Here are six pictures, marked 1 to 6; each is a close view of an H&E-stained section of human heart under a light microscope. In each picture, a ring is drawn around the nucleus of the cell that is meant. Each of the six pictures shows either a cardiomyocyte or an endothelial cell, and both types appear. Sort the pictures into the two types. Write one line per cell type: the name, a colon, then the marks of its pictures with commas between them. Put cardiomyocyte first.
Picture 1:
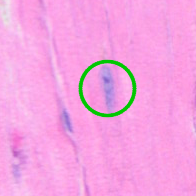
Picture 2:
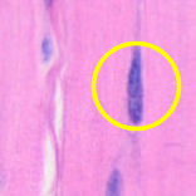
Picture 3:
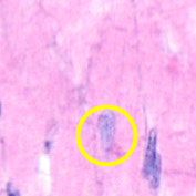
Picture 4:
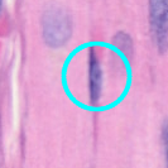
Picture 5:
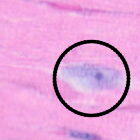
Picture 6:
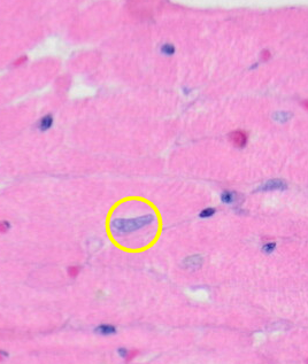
cardiomyocyte: 1, 3, 5, 6
endothelial cell: 2, 4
